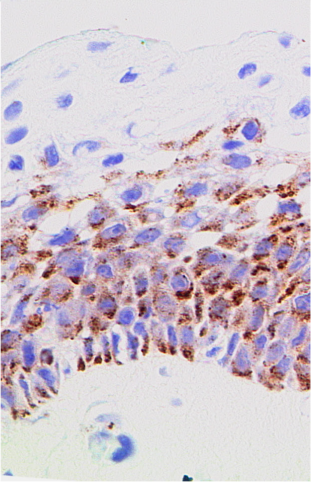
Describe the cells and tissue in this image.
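This is a stratified epithelium of mucosa, with the basal layer at the bottom and flattened surface layers at the top. Cells of the basal and lower intermediate layers have oval blue nuclei, surrounded by coarse brown granules in the cytoplasm. A small piece of underlying connective tissue appears below the basal layer.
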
